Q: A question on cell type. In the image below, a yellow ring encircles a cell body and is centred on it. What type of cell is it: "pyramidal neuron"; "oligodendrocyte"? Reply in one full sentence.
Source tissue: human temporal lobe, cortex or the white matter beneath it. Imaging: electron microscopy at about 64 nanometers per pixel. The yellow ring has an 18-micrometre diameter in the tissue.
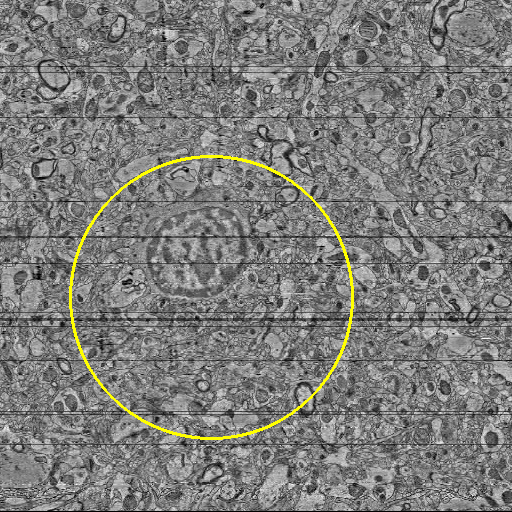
It is an oligodendrocyte whose cell body sits at the centre of the yellow ring in the image.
